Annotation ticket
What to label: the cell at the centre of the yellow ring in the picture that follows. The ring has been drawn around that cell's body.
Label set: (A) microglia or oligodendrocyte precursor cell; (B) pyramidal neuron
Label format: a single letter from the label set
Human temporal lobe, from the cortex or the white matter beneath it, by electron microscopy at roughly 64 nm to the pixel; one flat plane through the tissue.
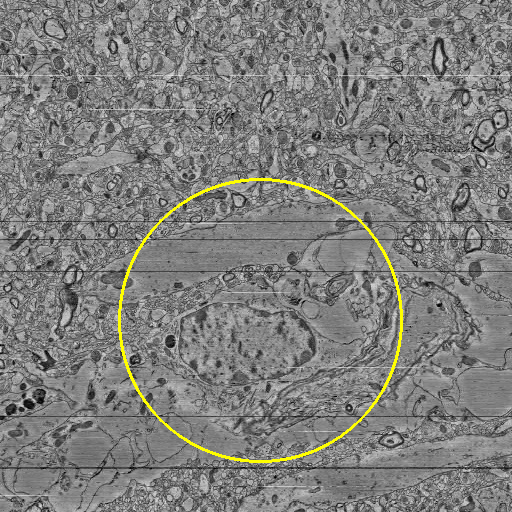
A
